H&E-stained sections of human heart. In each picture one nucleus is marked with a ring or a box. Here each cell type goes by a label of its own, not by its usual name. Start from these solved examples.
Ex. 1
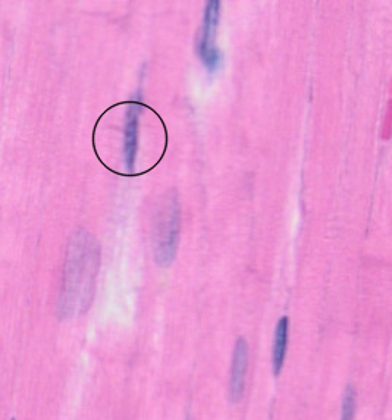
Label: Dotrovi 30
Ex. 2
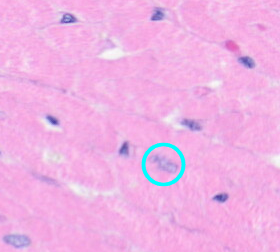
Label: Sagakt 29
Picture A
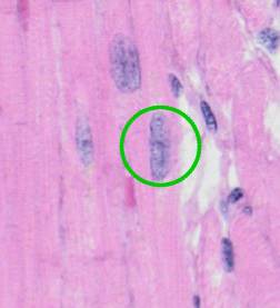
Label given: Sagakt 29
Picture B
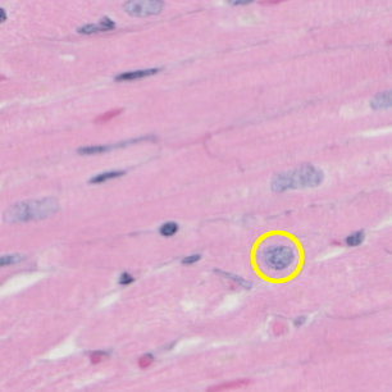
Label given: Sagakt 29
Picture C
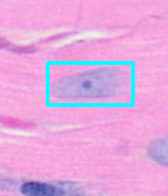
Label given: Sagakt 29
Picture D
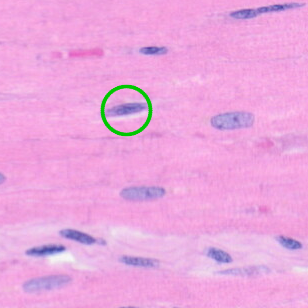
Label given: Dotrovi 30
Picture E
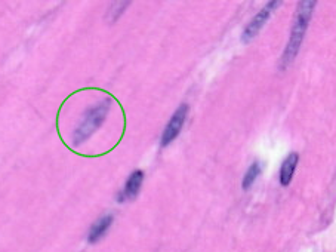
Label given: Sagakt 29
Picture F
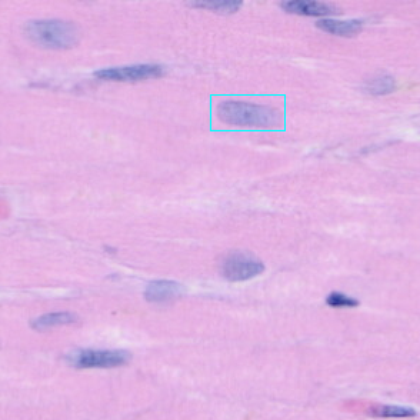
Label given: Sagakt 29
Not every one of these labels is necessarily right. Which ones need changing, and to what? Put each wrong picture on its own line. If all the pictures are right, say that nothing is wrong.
Every label is right.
